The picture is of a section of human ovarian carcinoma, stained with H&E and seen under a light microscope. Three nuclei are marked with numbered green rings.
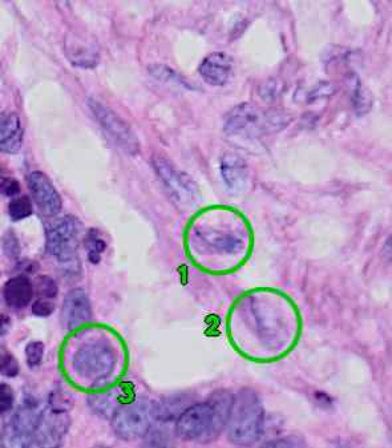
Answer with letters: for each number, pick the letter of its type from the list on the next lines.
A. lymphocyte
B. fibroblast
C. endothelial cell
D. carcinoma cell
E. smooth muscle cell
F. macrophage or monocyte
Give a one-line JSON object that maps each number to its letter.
{"1": "B", "2": "B", "3": "D"}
